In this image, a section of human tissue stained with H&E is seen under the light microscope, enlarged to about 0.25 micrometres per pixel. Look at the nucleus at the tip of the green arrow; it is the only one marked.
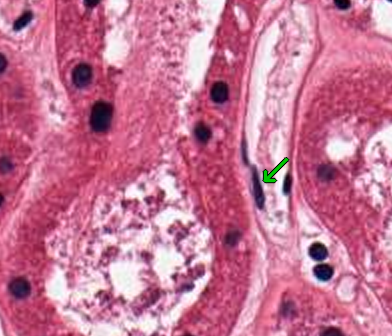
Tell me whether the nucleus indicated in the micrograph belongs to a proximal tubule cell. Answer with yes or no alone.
no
